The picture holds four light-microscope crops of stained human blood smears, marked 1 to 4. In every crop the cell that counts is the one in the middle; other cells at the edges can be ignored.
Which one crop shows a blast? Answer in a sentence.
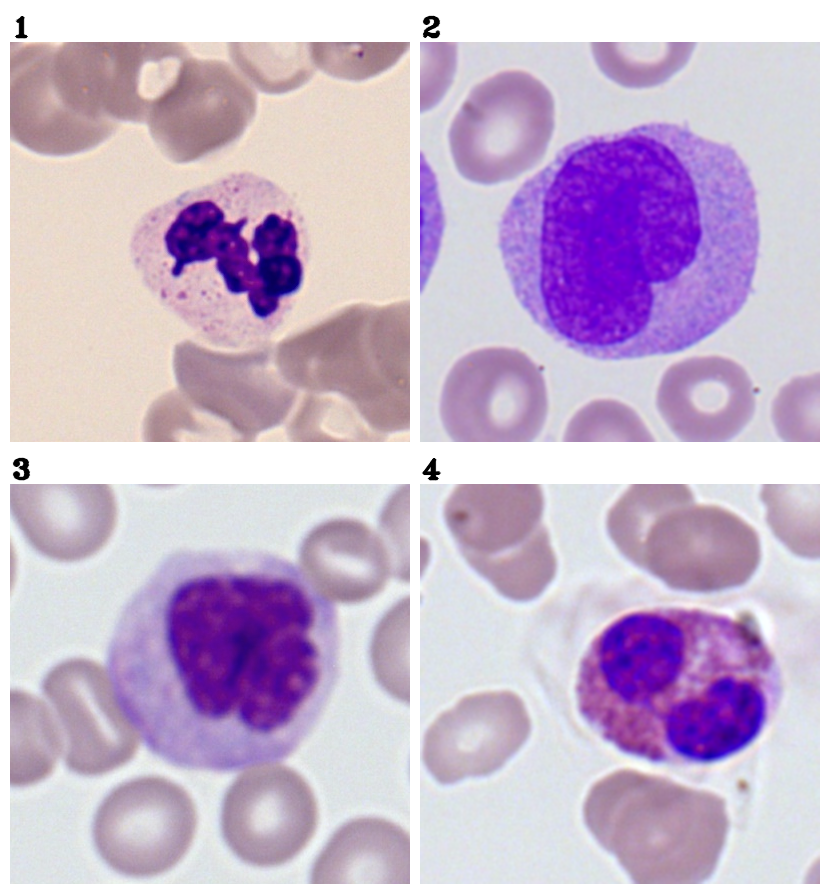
In this set, crop 2 is the one showing a blast.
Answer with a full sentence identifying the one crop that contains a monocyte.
Among the crops provided, a monocyte occupies the center of crop 3.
